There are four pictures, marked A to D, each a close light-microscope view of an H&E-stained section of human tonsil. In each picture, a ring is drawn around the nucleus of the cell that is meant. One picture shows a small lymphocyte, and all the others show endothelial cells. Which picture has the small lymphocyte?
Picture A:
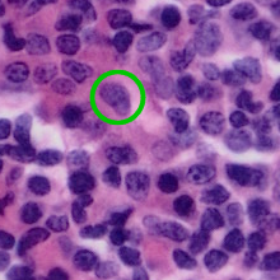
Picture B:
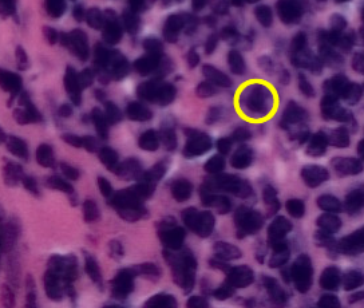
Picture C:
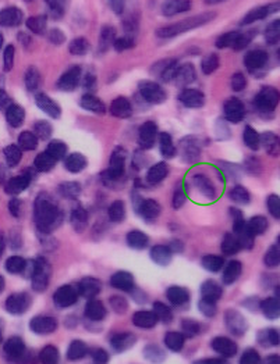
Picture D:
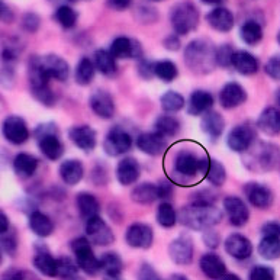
D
